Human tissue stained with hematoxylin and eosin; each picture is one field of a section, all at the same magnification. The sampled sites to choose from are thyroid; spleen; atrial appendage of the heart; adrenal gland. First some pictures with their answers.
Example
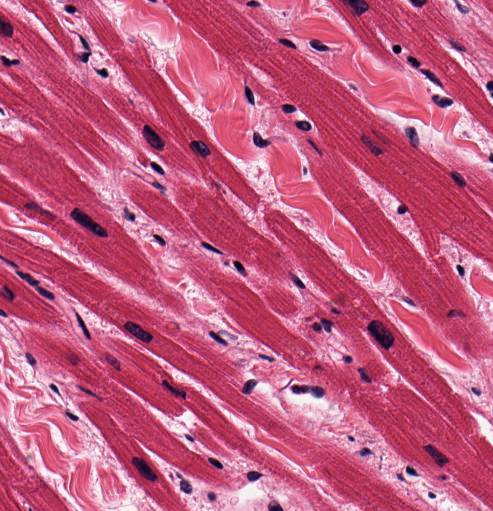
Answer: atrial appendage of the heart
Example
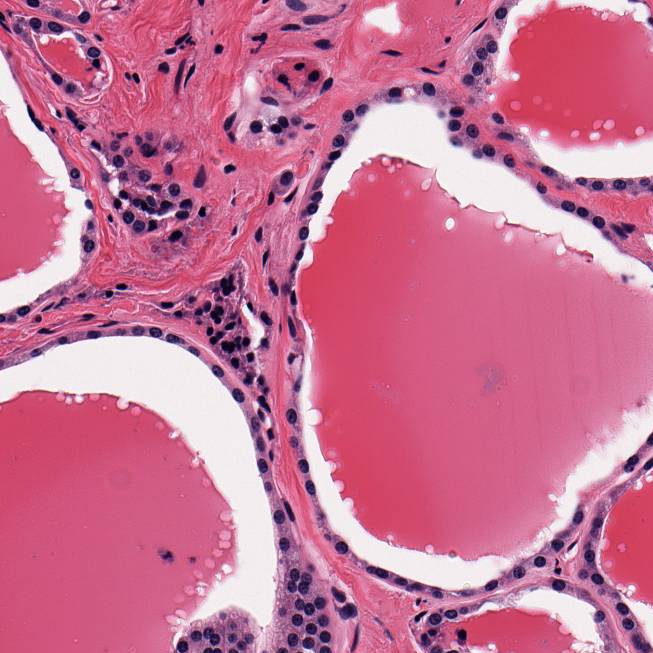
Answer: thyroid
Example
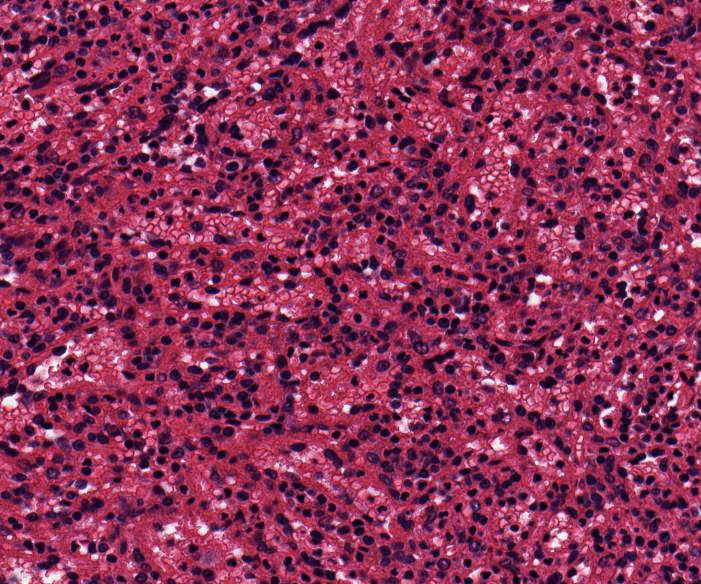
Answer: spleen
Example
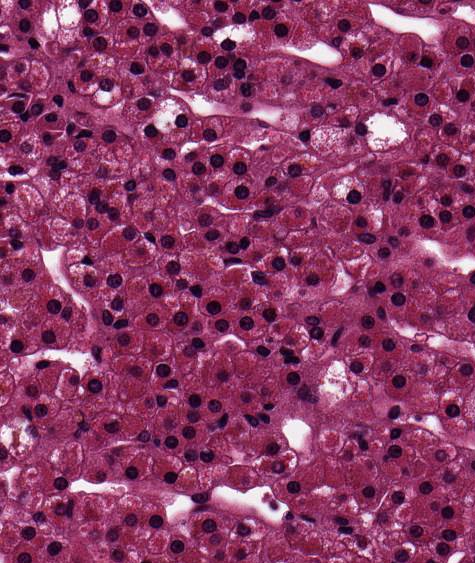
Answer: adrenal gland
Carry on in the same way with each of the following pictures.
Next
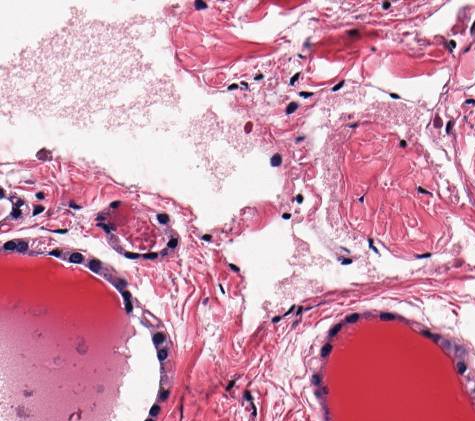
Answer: thyroid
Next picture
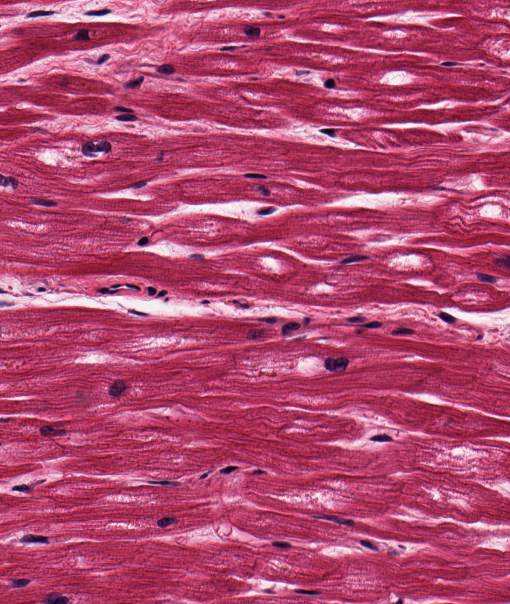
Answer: atrial appendage of the heart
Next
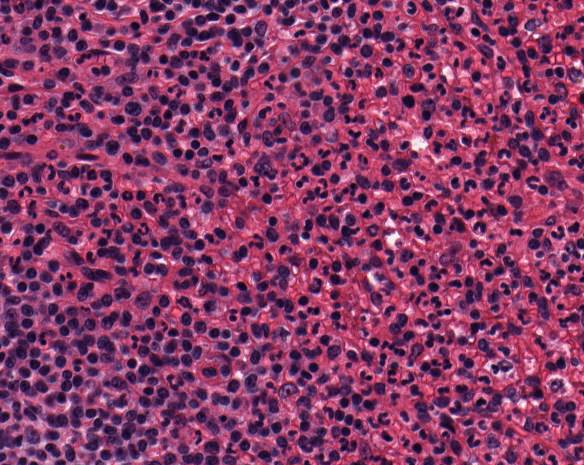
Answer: spleen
